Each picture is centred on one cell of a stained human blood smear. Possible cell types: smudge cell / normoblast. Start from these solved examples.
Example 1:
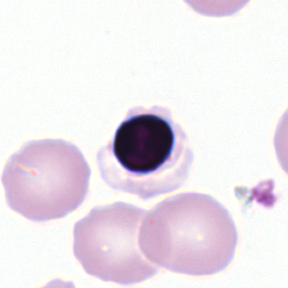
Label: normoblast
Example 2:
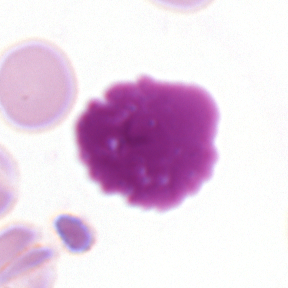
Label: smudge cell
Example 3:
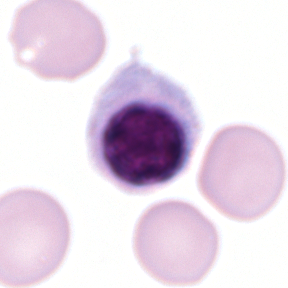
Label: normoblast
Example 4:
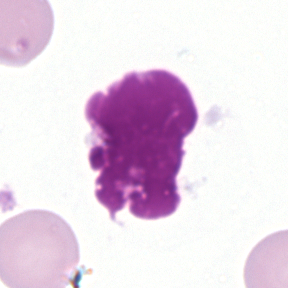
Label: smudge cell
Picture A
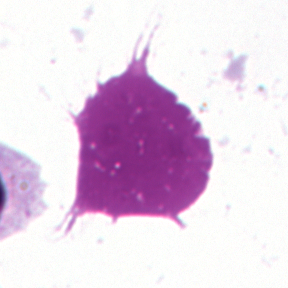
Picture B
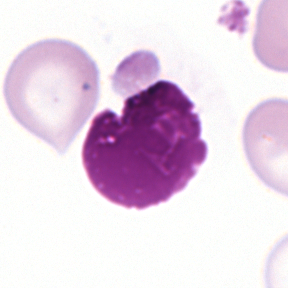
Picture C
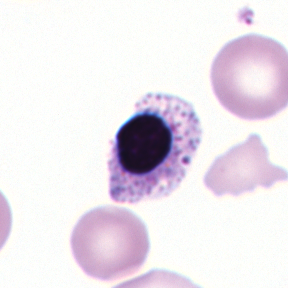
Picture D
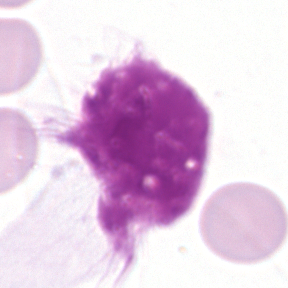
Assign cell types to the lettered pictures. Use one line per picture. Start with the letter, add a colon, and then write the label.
A: smudge cell
B: smudge cell
C: normoblast
D: smudge cell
